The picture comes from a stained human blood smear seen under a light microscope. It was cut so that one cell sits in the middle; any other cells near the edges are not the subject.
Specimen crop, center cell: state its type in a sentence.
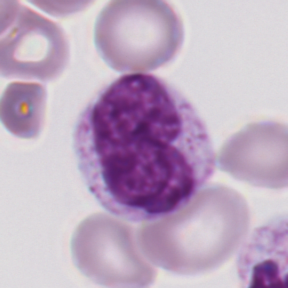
The cell centred in this crop is categorized as a metamyelocyte.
